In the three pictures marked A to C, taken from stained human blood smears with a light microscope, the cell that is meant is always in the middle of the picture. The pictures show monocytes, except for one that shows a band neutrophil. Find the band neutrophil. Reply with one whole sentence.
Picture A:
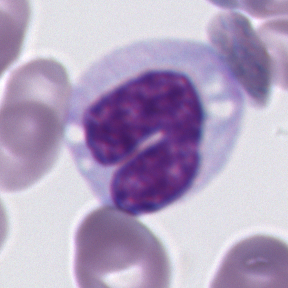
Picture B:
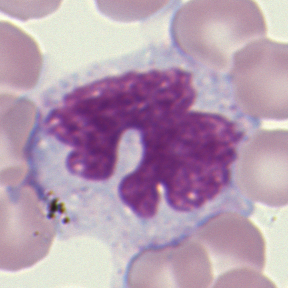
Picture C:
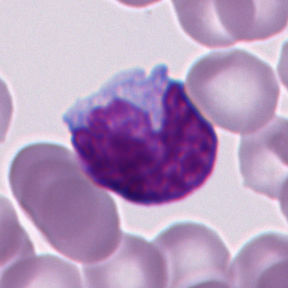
The cell in picture A is the band neutrophil.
